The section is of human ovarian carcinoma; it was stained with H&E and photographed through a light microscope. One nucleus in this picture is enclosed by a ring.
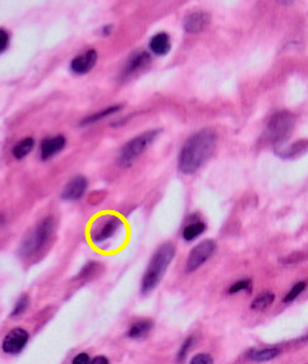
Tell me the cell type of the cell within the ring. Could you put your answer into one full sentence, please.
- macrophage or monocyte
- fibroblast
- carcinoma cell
In the context of this tissue, the cell within the ring is a fibroblast.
